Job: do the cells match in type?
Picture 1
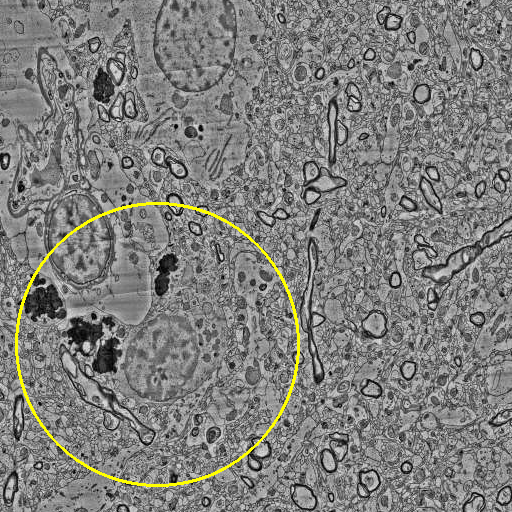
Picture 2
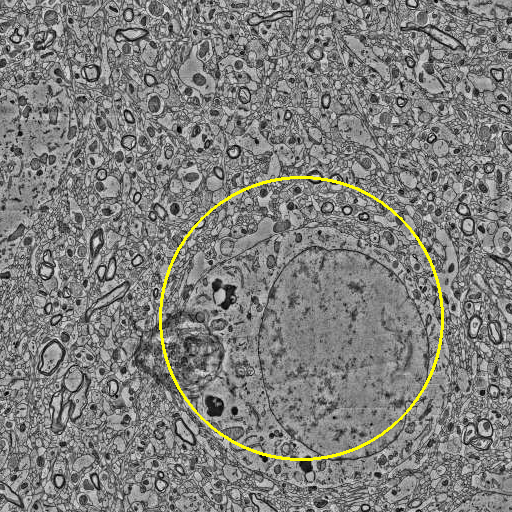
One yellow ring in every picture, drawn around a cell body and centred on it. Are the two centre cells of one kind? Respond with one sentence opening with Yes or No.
No, the ringed cells in the two pictures are of two separate kinds.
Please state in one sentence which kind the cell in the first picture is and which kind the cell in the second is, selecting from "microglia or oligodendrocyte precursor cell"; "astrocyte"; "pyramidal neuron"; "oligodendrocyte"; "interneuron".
The first ringed cell is an oligodendrocyte, the second ringed cell a pyramidal neuron.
